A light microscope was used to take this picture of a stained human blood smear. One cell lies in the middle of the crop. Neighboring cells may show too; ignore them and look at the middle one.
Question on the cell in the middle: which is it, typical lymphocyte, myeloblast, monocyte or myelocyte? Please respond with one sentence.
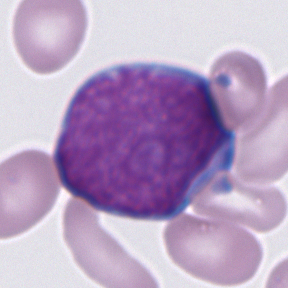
Whatever else lies nearby, the middle cell is a myeloblast.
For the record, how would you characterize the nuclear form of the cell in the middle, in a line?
See how the nucleus sits as one compact round, oval or kidney-shaped mass.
